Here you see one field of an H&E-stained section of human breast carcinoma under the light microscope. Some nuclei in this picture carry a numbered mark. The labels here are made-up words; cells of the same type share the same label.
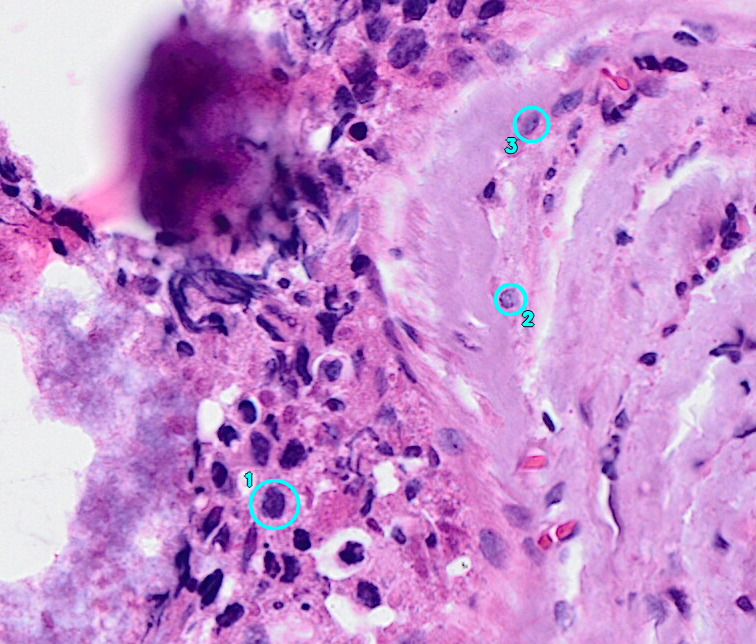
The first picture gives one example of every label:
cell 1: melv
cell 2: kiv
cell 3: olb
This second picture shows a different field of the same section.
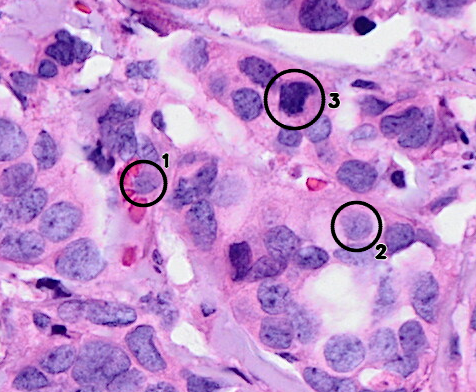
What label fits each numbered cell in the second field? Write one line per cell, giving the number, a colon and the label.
1: olb
2: melv
3: melv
